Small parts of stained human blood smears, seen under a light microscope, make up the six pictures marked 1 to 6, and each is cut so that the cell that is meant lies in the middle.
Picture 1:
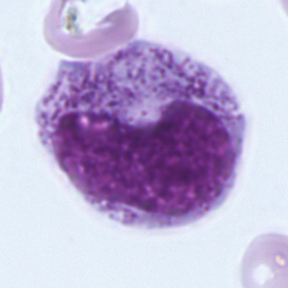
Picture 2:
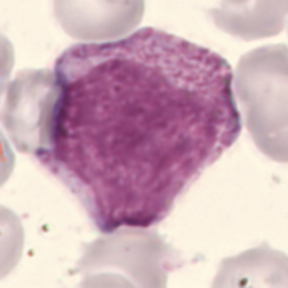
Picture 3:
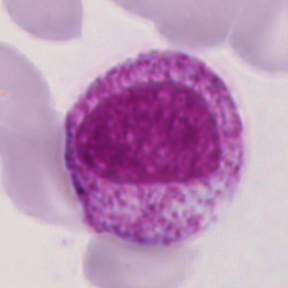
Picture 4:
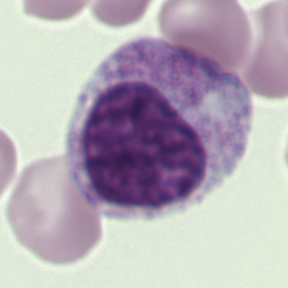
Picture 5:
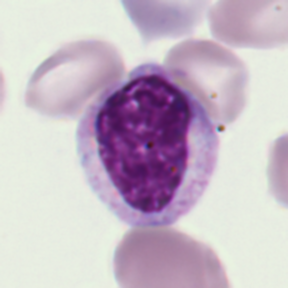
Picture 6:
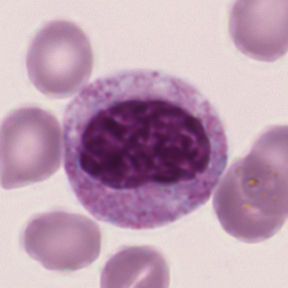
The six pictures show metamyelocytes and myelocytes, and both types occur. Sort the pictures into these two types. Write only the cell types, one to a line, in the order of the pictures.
myelocyte
myelocyte
myelocyte
myelocyte
metamyelocyte
metamyelocyte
